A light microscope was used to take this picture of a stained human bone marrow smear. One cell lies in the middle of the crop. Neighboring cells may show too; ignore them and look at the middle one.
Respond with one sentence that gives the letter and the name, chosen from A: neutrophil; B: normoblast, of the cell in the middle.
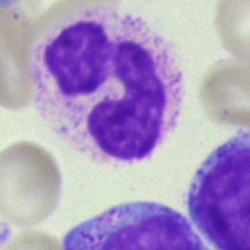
Option A is correct, naming the cell in the middle as a neutrophil.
